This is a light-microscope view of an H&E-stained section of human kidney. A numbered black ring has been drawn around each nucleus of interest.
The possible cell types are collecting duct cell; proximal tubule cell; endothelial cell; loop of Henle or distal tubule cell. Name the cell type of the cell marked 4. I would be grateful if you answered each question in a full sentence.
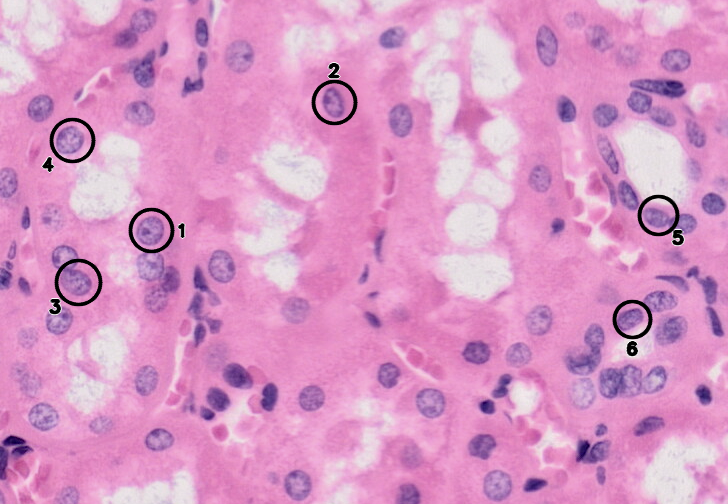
The cell tagged with 4 in this tissue section is a proximal tubule cell.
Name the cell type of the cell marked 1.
The cell numbered 1 has been identified as a proximal tubule cell.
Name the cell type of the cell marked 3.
The cell referenced by the number 3 is a proximal tubule cell in this field.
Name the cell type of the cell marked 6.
The numeral 6 marks a collecting duct cell in this section.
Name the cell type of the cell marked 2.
Cell 2, among those numbered, is a proximal tubule cell.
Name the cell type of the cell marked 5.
Of the numbered cells, the one labelled 5 is a collecting duct cell.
